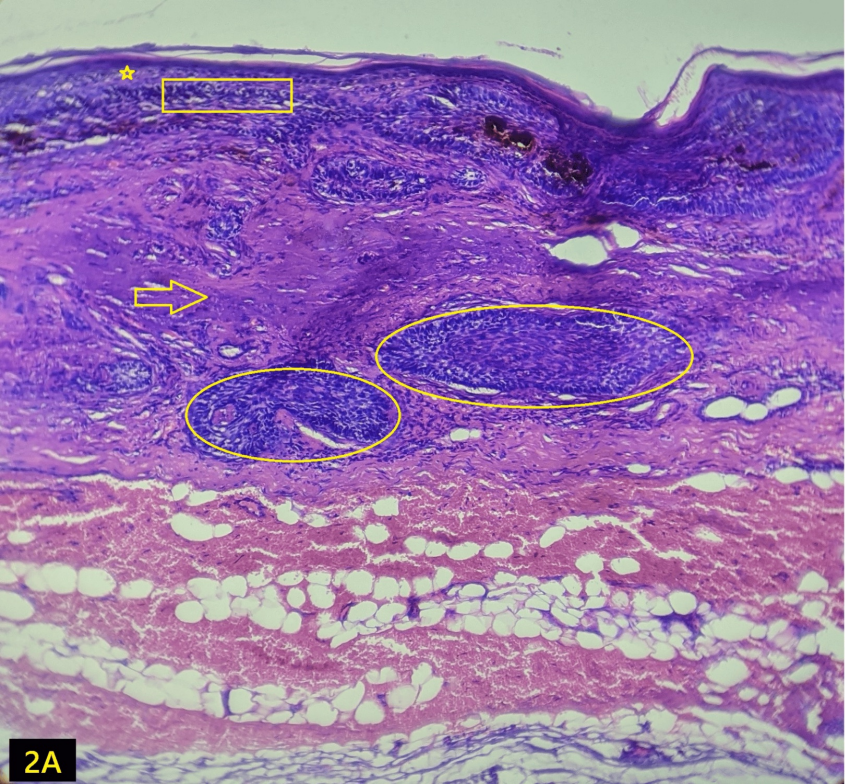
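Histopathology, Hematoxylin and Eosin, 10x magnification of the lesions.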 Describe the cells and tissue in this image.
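A section through skin shows a thin epidermis on top, dermis below, and fat lobules with loose pink tissue at the bottom. The epidermis is thinned and slightly depressed, with a compact surface layer and some brown pigment near its base. In the upper dermis the tissue is pale, greyish-purple and amorphous. Within the dermis lie several rounded nests and islands of densely packed dark blue basaloid cells, clearly set off from the surrounding pink stroma, some with small slit-like spaces inside. The deeper dermis shows bright pink collagen and scattered empty fat spaces.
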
